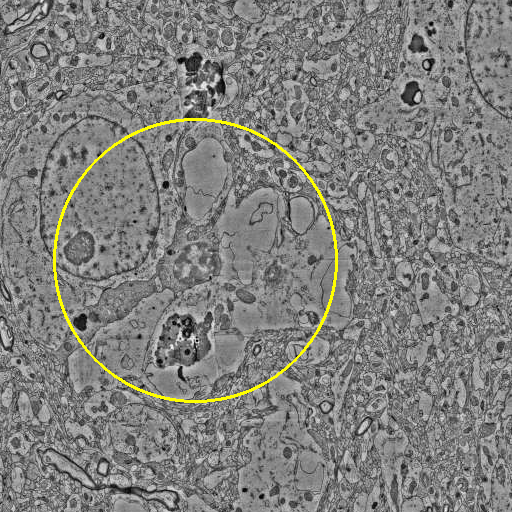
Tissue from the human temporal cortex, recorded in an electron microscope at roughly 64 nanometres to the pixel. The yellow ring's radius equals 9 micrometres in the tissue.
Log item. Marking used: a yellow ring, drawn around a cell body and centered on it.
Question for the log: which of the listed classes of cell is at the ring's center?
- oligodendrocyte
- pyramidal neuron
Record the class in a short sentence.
At the center of the ring lies an oligodendrocyte.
